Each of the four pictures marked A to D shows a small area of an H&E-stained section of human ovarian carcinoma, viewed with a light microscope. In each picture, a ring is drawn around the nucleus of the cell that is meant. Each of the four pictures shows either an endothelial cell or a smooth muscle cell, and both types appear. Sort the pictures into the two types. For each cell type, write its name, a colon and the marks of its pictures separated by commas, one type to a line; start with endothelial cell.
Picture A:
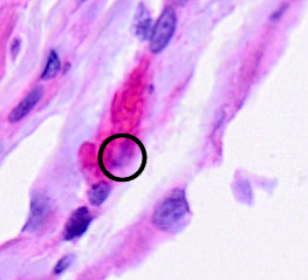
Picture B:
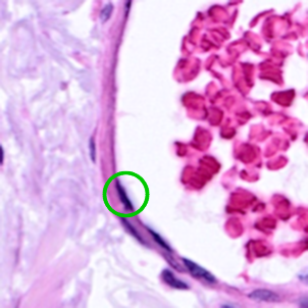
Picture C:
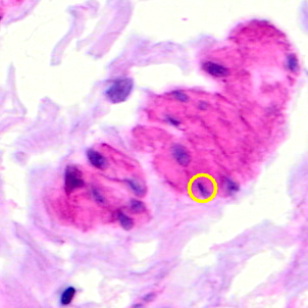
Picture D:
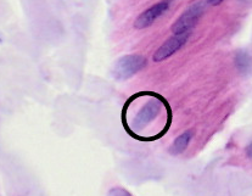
endothelial cell: A, B
smooth muscle cell: C, D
